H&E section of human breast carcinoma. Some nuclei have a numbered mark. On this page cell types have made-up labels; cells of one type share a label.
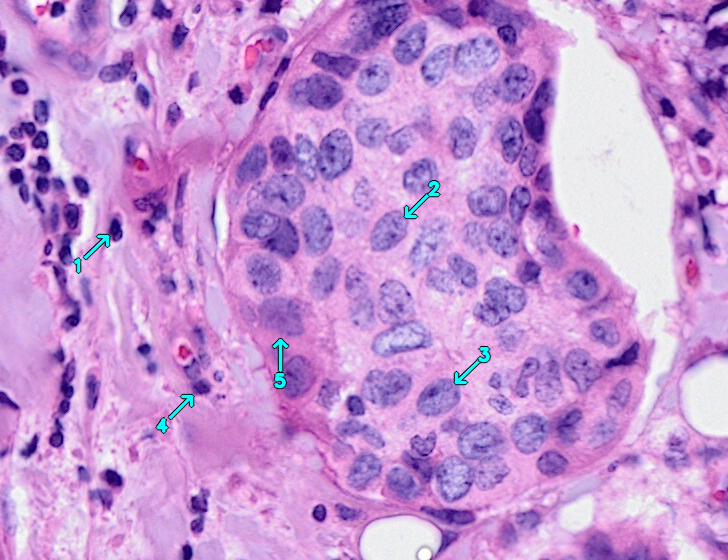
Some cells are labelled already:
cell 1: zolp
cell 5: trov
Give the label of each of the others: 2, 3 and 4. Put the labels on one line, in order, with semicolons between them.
trov; trov; zolp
